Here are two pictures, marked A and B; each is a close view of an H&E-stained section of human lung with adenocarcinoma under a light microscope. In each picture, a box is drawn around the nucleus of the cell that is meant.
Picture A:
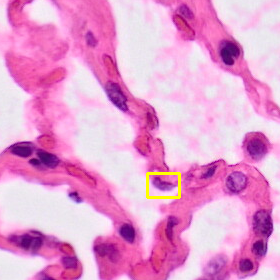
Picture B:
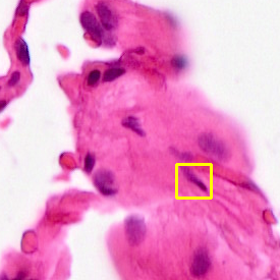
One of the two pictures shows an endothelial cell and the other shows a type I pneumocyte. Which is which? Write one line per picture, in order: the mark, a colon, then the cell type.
A: type I pneumocyte
B: endothelial cell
